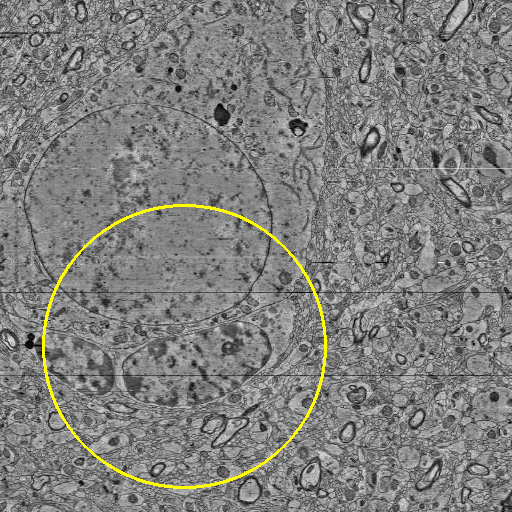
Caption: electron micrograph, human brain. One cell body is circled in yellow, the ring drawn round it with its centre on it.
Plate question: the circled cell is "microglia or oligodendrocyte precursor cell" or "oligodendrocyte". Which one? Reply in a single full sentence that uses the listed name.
The yellow ring on the plate is centred on a microglial cell or oligodendrocyte precursor cell, going by the listed names.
